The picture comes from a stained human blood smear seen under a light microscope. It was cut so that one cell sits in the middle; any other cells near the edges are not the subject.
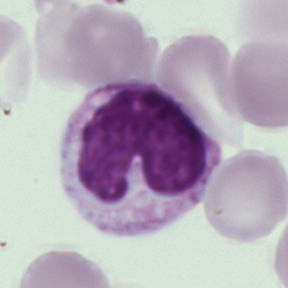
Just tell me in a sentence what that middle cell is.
In the centre of this crop there is a band neutrophil.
